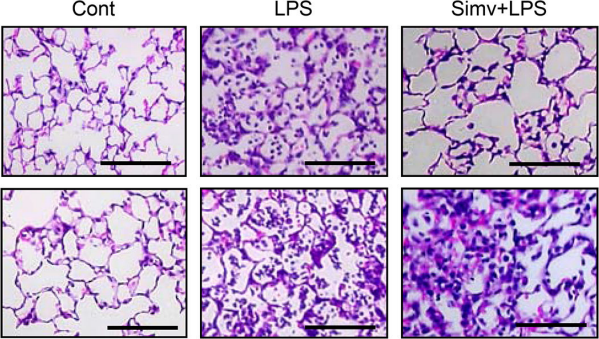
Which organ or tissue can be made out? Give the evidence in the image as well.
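Lung. Many thin-walled, rounded open air spaces separated by delicate septa. A lace-like network of pink septa with scattered purple nuclei.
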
